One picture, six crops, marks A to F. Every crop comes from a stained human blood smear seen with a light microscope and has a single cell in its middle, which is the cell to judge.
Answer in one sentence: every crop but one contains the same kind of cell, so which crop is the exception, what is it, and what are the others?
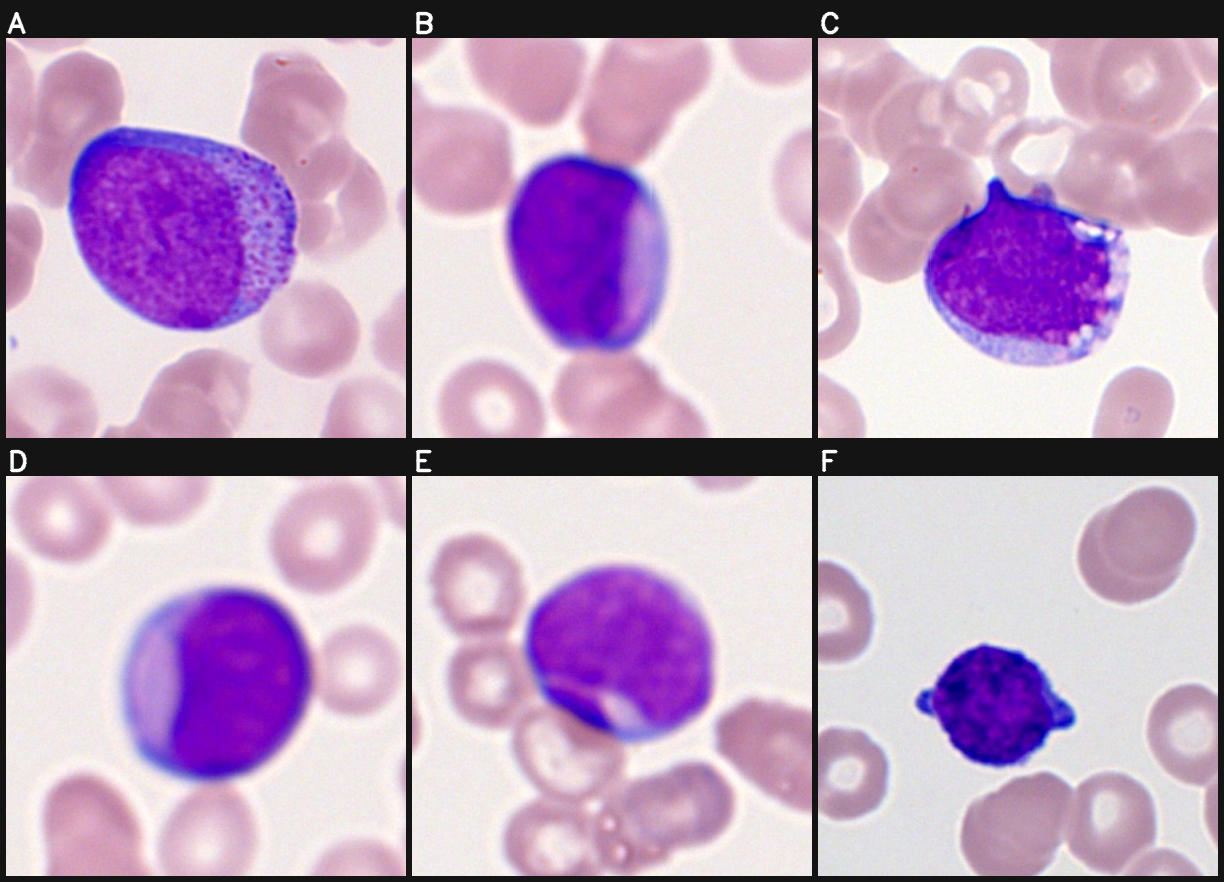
Where the others show blasts, crop F shows a lymphocyte.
